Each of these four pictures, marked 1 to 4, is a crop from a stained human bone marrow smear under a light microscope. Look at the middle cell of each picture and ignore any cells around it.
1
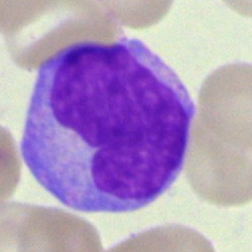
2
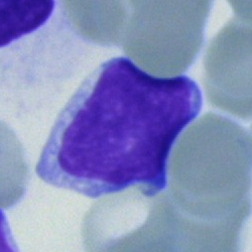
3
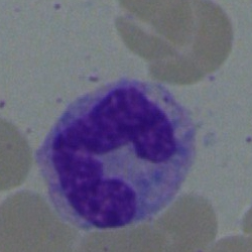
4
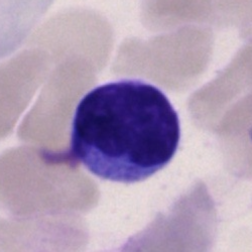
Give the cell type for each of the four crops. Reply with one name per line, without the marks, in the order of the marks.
monocyte
lymphocyte
monocyte
lymphocyte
